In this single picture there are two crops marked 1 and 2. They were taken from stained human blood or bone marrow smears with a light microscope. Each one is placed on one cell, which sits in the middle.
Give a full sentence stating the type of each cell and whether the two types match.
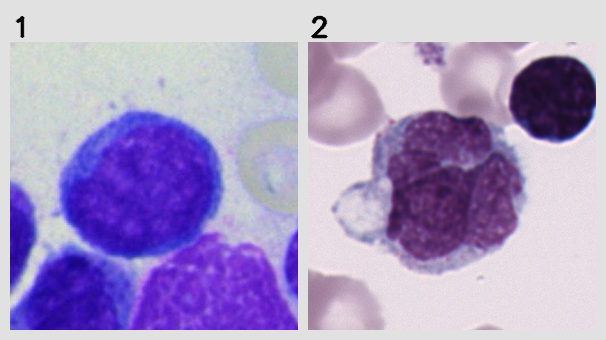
No, the middle of crop 1 shows a blast, and the middle of crop 2 shows a monocyte.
